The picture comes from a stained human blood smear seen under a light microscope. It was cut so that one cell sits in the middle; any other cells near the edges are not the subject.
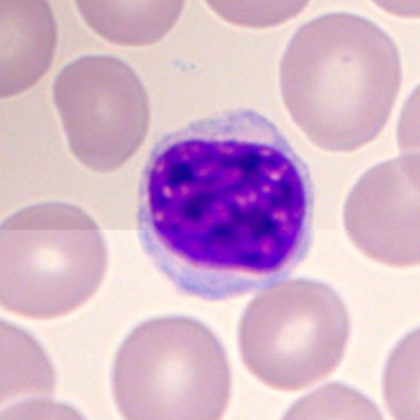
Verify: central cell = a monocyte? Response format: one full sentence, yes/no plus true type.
No, that guess of a monocyte misses; the central cell is a lymphocyte.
